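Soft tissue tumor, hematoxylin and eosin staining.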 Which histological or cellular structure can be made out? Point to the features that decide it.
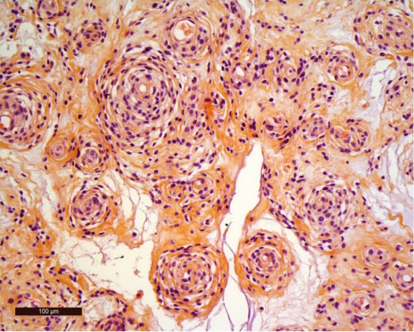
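Cells with oval nuclei form concentric rings. The rings surround small round central lumina. Pale loose matrix lies between the rings.
Hence: ovoid cells embedded in a myxoid background and concentrically arranged around rounded vascular structures.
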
